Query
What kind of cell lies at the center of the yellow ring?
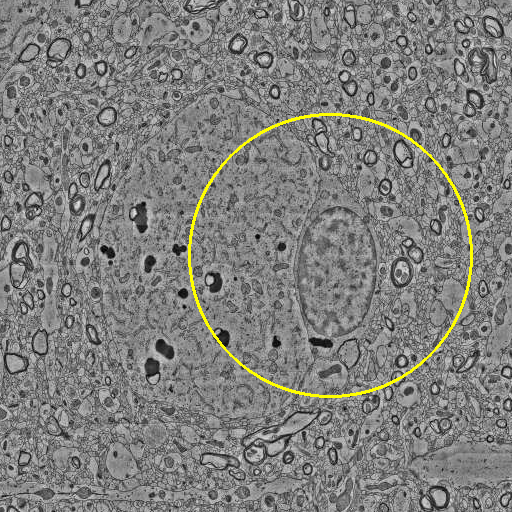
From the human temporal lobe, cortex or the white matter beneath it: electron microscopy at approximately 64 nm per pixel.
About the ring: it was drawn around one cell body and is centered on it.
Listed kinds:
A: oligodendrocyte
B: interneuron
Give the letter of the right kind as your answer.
A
